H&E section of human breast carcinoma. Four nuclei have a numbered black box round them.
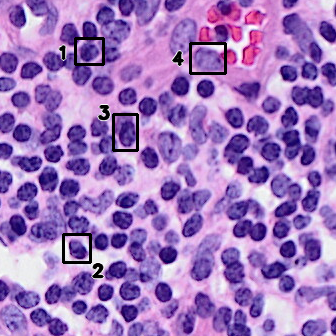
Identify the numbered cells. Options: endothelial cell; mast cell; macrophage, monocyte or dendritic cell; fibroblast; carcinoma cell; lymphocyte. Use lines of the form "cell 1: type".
cell 1: lymphocyte
cell 2: lymphocyte
cell 3: lymphocyte
cell 4: endothelial cell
